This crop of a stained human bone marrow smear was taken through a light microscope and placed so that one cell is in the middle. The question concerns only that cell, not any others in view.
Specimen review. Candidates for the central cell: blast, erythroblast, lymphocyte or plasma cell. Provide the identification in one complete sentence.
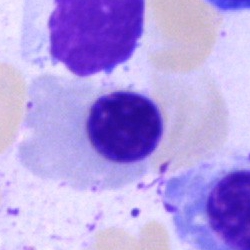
This particular crop is centered on an erythroblast.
